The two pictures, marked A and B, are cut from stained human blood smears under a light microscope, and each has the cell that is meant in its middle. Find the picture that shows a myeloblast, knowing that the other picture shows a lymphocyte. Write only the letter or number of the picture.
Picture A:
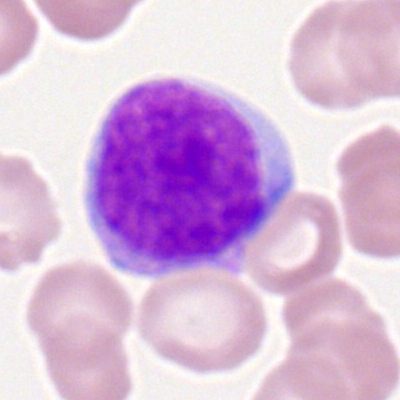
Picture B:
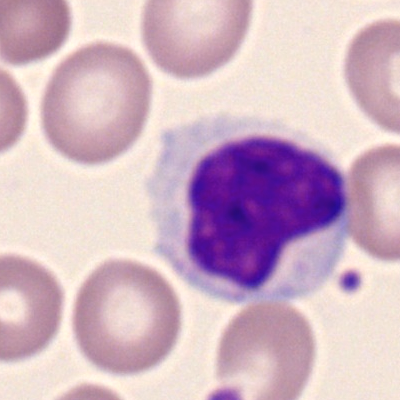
A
